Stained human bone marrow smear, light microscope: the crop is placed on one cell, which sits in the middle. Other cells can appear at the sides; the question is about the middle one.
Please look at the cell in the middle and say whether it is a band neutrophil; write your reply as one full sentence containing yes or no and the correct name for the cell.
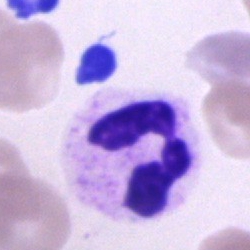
No, the cell at the center of this crop is a segmented neutrophil instead of a band neutrophil.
